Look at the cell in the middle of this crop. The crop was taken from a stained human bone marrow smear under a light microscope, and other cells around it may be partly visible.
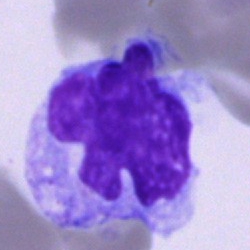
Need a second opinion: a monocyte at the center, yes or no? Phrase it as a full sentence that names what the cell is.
Yes, the middle cell in this crop is a monocyte.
